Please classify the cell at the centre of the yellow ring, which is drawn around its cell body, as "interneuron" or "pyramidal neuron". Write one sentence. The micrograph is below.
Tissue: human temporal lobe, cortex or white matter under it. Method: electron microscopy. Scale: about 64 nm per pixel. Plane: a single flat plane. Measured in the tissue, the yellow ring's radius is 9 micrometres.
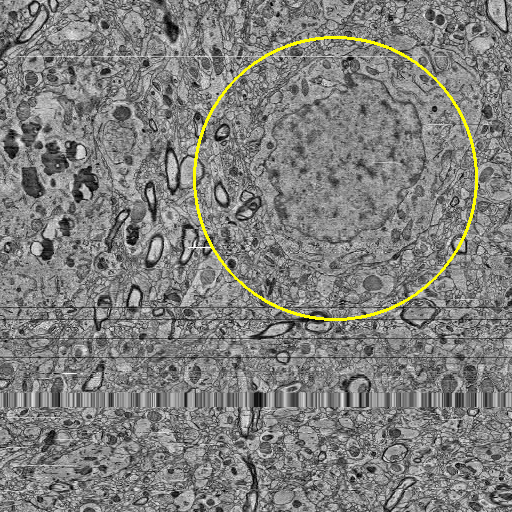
The cell at the ring's centre is classified as an interneuron.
